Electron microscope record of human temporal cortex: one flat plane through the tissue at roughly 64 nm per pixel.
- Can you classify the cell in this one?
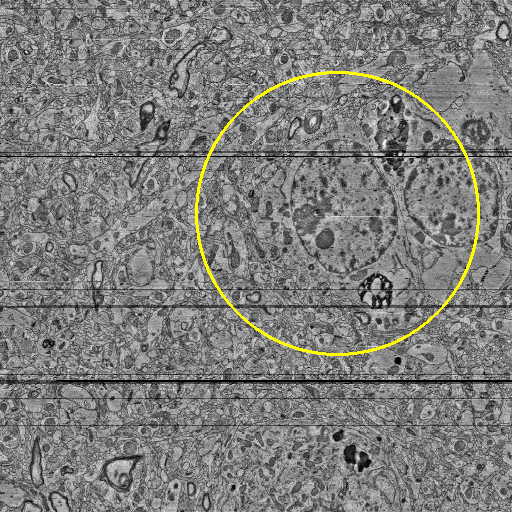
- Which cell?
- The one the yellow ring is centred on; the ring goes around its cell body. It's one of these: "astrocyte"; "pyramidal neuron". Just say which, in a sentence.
The cell body in the ring belongs to an astrocyte.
